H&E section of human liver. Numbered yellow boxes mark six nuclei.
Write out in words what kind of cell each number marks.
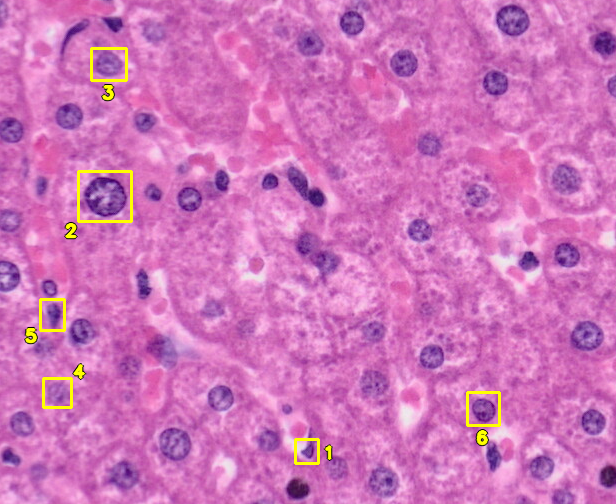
Cell 1 is an endothelial cell, cell 2 is a hepatocyte, cell 3 is a hepatocyte, cell 4 is a hepatocyte, cell 5 is a fibroblast or stellate cell and cell 6 is a hepatocyte.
